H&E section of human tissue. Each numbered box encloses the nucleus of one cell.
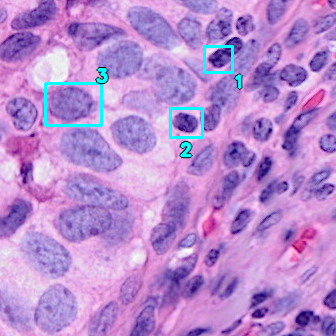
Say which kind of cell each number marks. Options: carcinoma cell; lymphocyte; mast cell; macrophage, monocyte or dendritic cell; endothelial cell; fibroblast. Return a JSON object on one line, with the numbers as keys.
{"1": "lymphocyte", "2": "lymphocyte", "3": "carcinoma cell"}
